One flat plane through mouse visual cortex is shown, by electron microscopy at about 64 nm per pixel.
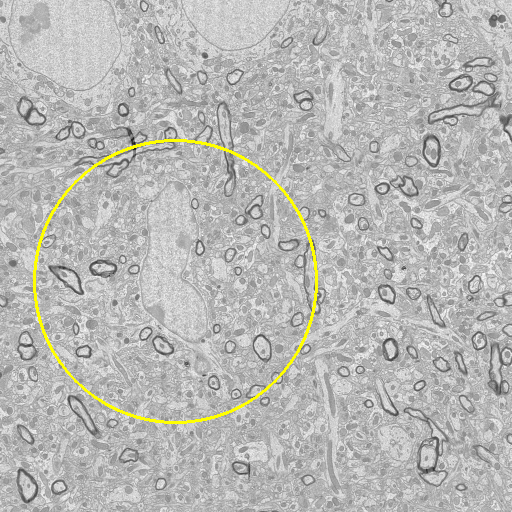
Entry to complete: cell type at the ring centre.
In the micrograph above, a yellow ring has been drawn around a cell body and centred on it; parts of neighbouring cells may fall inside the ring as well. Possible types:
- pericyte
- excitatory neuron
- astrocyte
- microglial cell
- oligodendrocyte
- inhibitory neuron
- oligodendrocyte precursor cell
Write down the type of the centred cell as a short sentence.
The ring is centred on an oligodendrocyte precursor cell.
